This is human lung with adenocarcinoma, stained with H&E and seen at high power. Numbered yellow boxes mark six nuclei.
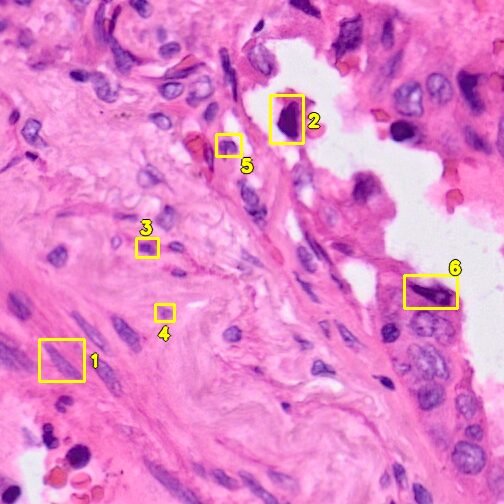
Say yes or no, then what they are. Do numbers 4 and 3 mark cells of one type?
Yes, in short, cells 4 and 3 are both smooth muscle cells or pericytes.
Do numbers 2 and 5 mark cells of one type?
No, what is marked as cell 2 is a carcinoma cell, and what is marked as cell 5 is a lymphocyte.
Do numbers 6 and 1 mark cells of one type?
No, cell 6 is recognized as a carcinoma cell, and cell 1 as a smooth muscle cell or pericyte.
